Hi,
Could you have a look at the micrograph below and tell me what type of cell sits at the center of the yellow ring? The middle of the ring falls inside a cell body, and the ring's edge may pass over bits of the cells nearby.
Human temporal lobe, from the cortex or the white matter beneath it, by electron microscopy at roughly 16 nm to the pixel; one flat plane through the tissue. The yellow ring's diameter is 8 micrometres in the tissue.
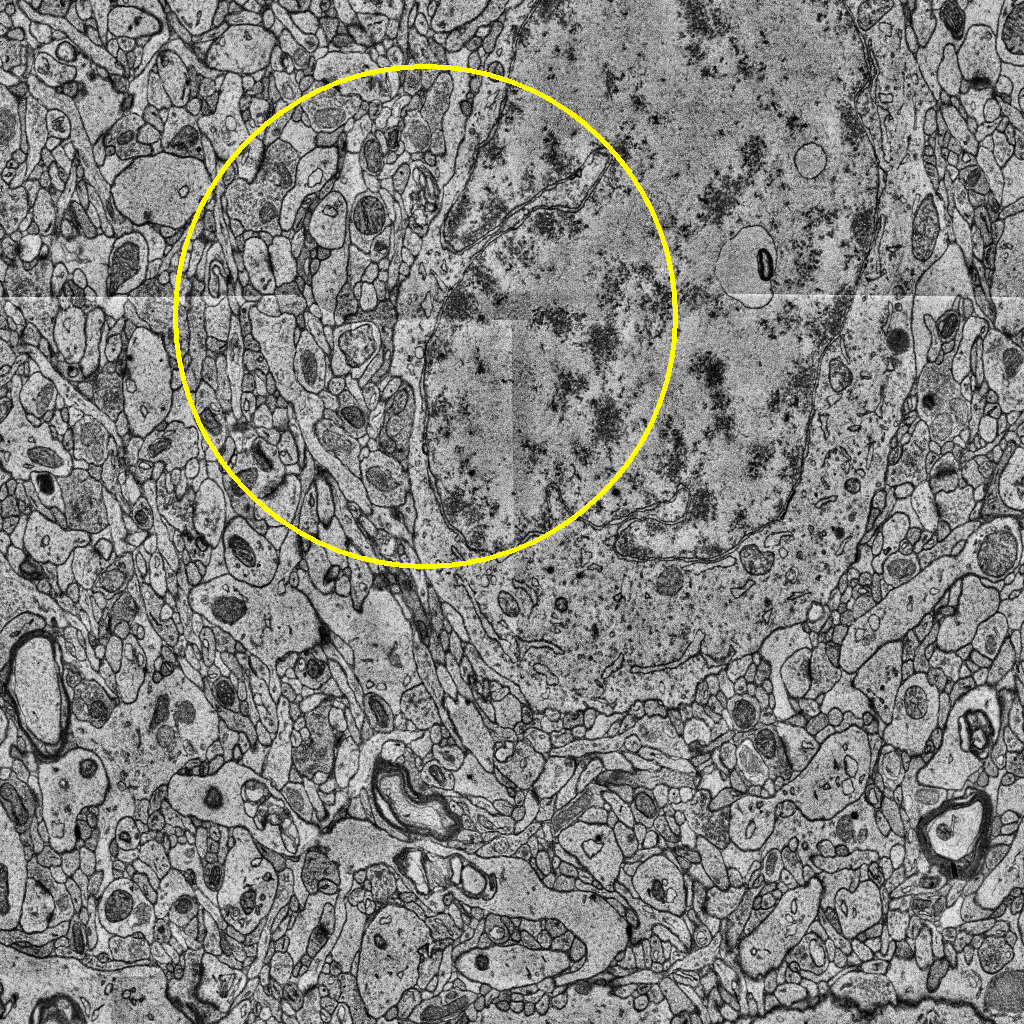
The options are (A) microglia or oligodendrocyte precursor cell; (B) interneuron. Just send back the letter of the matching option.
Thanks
B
